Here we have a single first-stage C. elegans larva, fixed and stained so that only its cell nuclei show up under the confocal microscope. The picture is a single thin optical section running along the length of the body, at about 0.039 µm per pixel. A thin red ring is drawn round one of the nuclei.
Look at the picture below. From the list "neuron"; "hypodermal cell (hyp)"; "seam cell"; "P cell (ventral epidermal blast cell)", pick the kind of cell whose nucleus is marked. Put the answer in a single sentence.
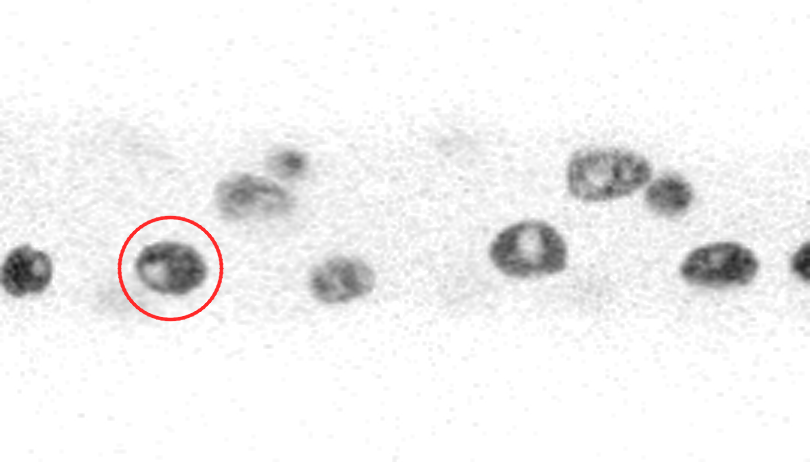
The marked nucleus belongs to a seam cell.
